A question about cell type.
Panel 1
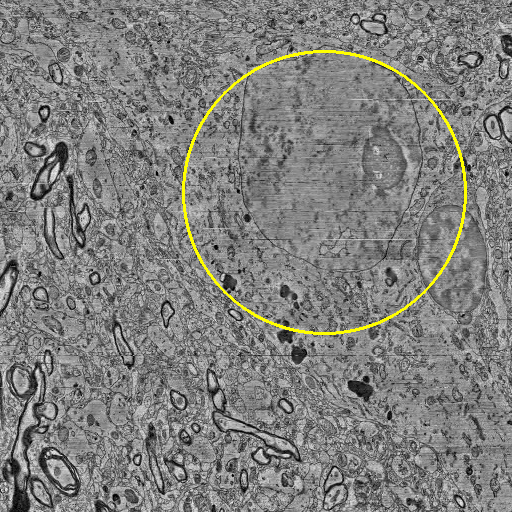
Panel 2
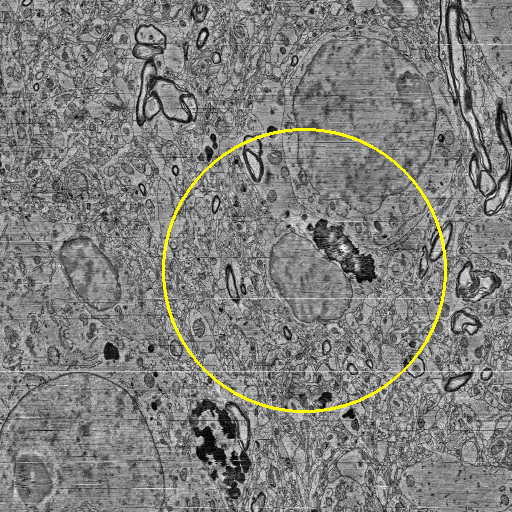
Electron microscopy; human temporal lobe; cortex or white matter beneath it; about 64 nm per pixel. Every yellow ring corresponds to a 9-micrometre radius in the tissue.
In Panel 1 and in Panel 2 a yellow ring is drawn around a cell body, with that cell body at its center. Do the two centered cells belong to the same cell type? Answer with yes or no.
no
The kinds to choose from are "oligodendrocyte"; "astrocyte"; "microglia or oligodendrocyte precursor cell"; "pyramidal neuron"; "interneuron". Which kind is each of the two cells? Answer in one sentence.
Of the two, the first cell is a pyramidal neuron and the second cell is an oligodendrocyte.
